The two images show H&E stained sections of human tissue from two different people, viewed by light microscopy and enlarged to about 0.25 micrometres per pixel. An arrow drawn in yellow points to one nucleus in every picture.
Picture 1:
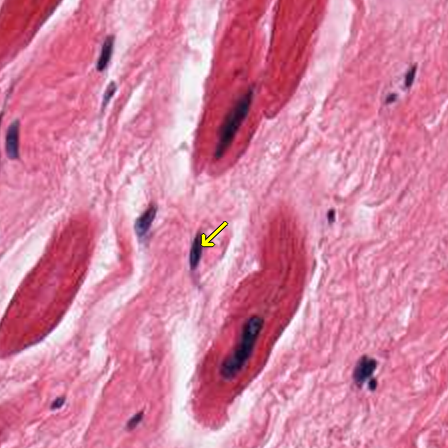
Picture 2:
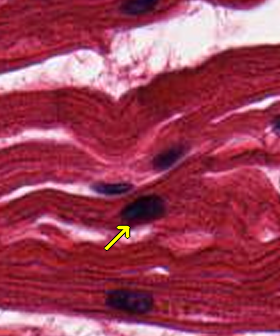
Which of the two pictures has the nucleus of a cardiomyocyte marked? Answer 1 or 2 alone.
2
